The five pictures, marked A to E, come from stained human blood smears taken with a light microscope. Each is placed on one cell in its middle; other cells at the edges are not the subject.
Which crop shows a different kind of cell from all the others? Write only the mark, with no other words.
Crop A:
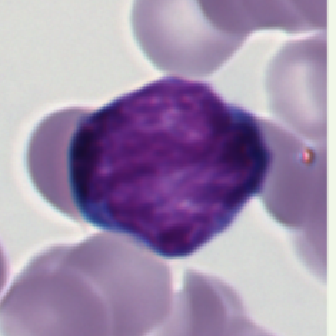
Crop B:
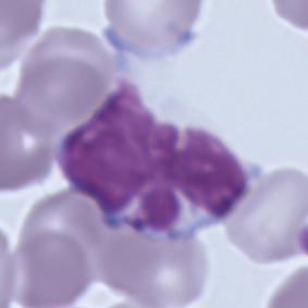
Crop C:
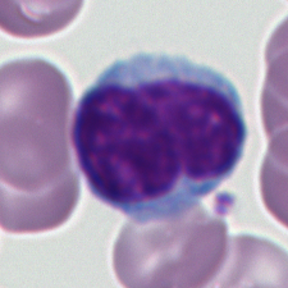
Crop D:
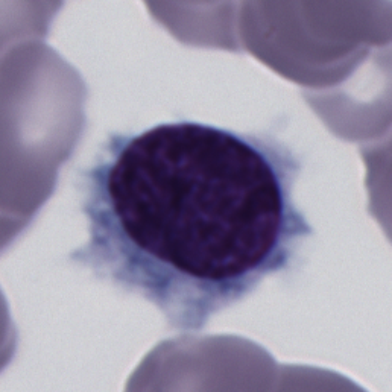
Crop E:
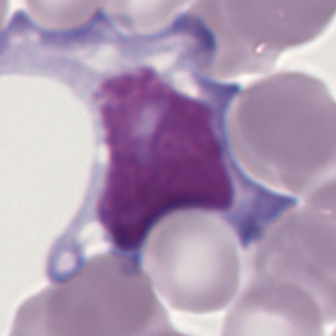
D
